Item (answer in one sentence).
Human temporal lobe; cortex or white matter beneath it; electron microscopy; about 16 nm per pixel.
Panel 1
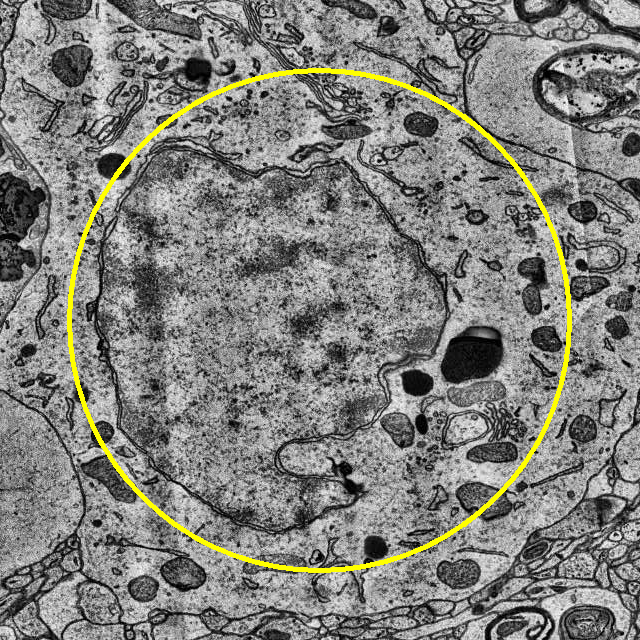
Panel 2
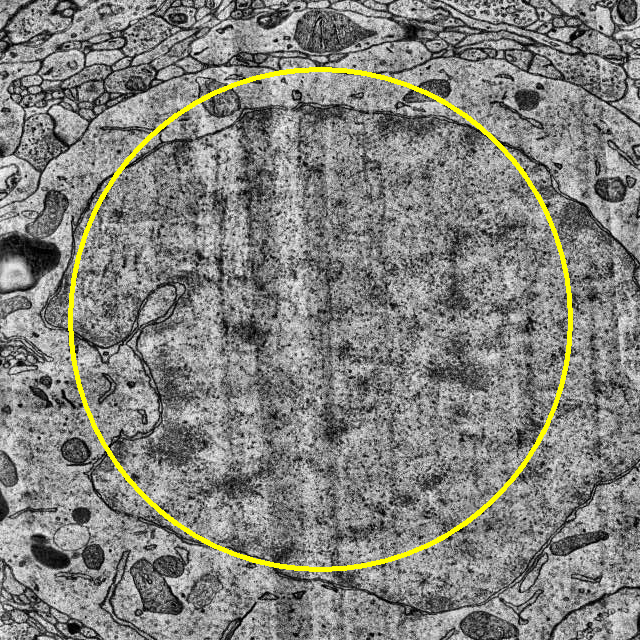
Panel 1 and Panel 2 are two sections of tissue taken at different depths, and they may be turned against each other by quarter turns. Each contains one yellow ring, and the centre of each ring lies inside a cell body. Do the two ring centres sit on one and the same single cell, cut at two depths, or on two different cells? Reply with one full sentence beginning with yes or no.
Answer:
Yes, both circles in yellow pick out the same cell.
